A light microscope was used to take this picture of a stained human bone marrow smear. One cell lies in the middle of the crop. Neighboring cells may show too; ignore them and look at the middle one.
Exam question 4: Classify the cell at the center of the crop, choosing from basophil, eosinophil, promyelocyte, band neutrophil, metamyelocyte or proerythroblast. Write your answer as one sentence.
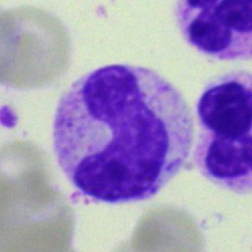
In this crop, the cell at the very middle is a band neutrophil.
